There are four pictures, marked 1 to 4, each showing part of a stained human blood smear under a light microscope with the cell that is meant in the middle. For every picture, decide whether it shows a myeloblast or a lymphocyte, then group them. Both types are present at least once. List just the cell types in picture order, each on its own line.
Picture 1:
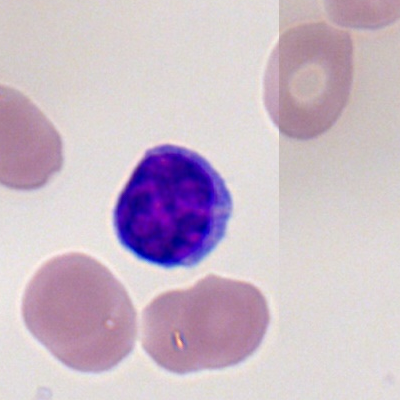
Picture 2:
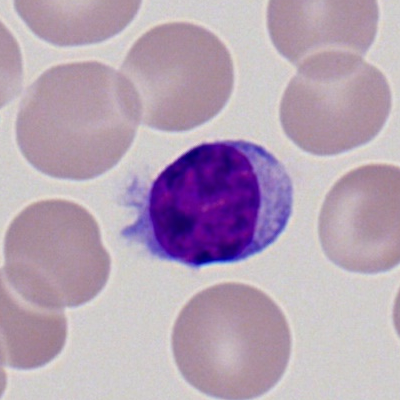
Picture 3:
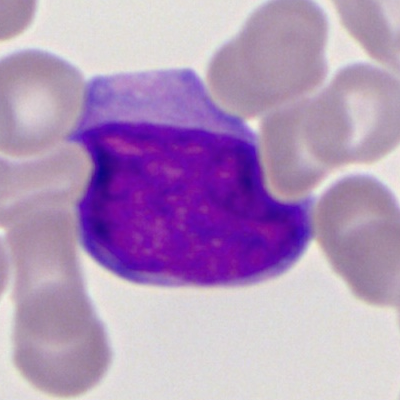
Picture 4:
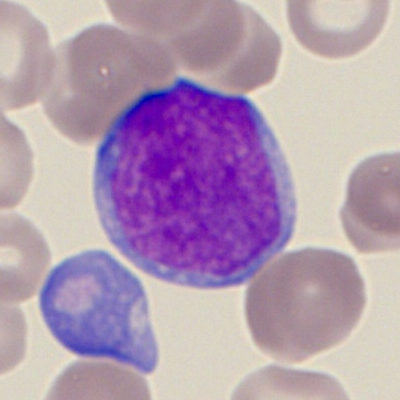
lymphocyte
lymphocyte
myeloblast
myeloblast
